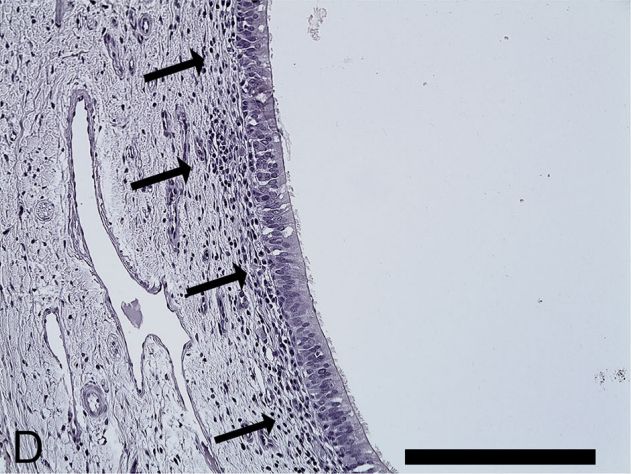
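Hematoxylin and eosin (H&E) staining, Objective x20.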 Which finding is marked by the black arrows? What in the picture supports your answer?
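Many small dark round nuclei are crowded in the connective tissue along the epithelium. The crowding is densest in the band right next to the epithelial layer.
Inflammatory infiltrate.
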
